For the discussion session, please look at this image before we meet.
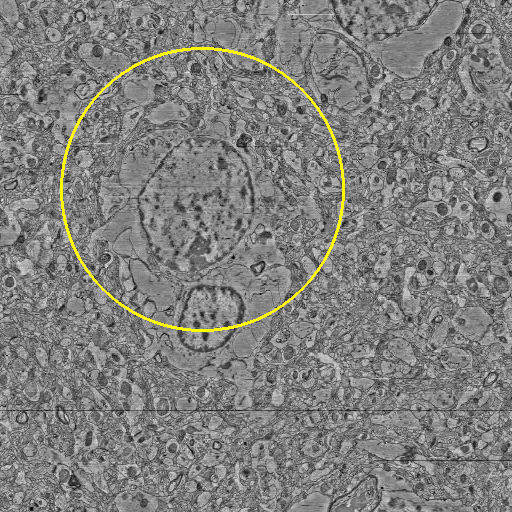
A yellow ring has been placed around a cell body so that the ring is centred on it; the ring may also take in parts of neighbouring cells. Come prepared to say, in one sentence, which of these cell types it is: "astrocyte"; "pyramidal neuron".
The cell centred in the ring is an astrocyte.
